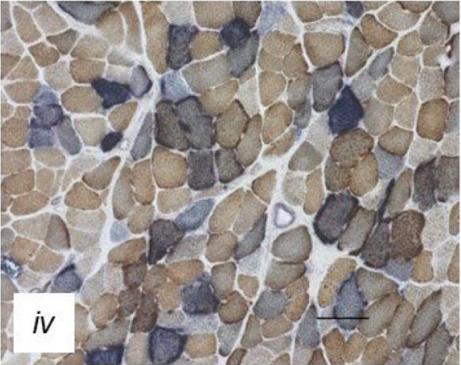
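This is a transverse section of skeletal muscle with closely packed polygonal muscle fibres separated by thin pale connective tissue septa. The fibres form a mosaic: most are stained brown in varying intensity, while scattered fibres, singly or in small groups, lack the brown reaction and are stained blue, ranging from pale blue-grey to deep navy. Some brown fibres are darker and granular, with stronger staining towards their edges.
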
